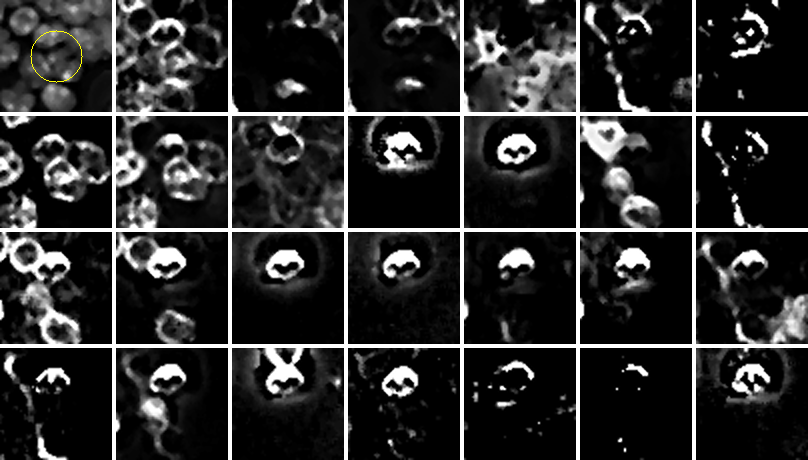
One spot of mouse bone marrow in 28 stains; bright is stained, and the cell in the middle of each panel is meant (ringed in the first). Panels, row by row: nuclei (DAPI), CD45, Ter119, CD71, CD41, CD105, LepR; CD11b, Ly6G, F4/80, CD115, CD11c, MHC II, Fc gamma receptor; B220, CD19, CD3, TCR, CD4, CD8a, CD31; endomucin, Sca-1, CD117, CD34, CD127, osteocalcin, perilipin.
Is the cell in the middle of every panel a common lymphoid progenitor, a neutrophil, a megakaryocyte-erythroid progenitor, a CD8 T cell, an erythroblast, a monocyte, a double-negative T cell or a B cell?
It is a neutrophil.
